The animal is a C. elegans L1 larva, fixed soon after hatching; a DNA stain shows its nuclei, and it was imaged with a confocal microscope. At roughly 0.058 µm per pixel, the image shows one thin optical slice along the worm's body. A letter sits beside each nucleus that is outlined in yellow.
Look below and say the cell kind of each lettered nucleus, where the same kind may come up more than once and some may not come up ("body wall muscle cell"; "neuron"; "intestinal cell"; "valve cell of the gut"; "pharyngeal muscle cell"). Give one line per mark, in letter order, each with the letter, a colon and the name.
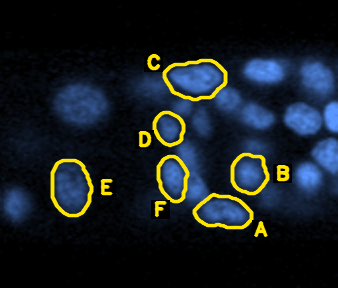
A: body wall muscle cell
B: neuron
C: body wall muscle cell
D: valve cell of the gut
E: intestinal cell
F: valve cell of the gut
